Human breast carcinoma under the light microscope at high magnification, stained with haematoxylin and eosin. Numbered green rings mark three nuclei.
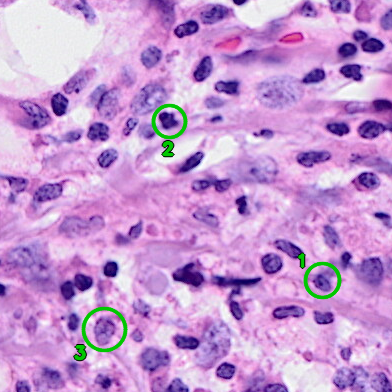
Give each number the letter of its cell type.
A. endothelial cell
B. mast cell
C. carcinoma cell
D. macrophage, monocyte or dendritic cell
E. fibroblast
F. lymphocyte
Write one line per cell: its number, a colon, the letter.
1: F
2: F
3: D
